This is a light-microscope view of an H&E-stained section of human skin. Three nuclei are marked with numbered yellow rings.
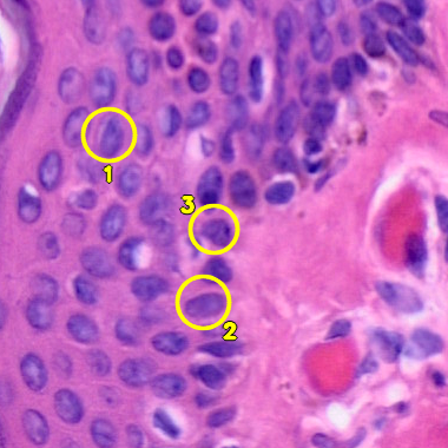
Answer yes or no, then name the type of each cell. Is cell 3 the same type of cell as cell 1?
No, cell 3 is a basal keratinocyte, and cell 1 is, by contrast, a suprabasal keratinocyte.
